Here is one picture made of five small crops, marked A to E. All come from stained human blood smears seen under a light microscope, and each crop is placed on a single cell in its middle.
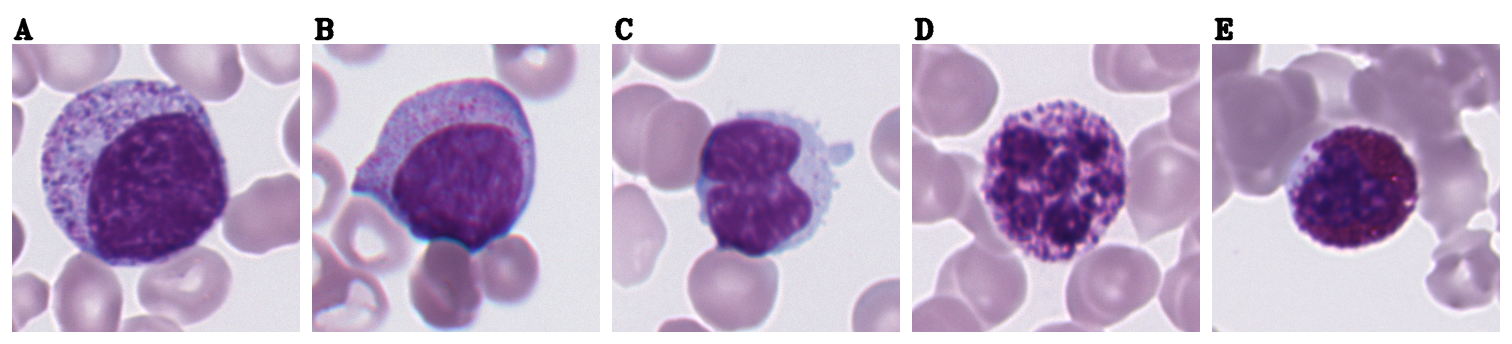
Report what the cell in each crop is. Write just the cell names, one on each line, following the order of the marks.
myelocyte
atypical promyelocyte
large granular lymphocyte
basophil
eosinophil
